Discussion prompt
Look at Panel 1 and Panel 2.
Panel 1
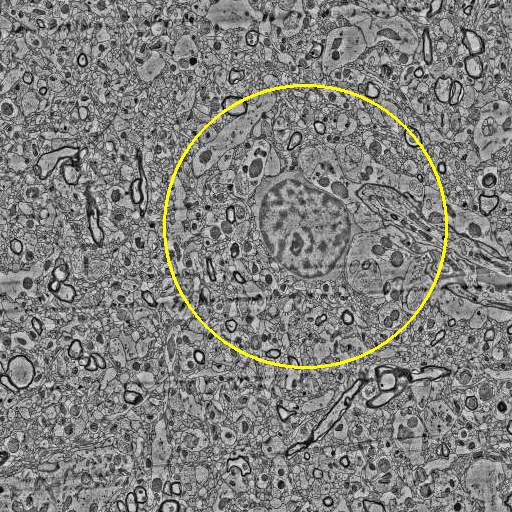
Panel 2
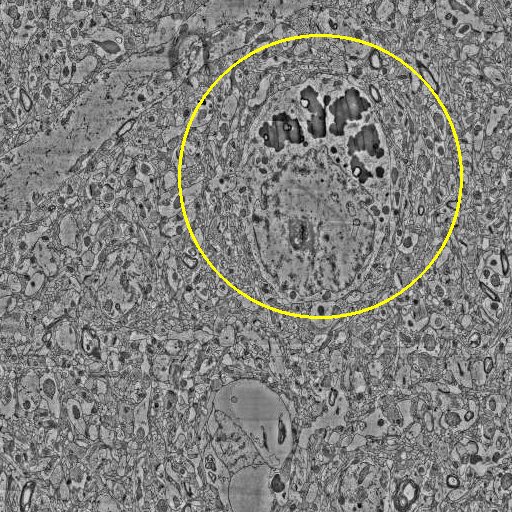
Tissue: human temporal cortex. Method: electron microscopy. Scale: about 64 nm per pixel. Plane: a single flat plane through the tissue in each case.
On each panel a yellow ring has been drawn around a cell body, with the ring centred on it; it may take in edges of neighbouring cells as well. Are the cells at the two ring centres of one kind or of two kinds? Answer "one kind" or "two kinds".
two kinds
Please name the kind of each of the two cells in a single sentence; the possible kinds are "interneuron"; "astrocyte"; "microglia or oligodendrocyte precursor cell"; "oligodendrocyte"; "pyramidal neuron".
In the first picture the ring is centred on an oligodendrocyte, and in the second on an interneuron.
